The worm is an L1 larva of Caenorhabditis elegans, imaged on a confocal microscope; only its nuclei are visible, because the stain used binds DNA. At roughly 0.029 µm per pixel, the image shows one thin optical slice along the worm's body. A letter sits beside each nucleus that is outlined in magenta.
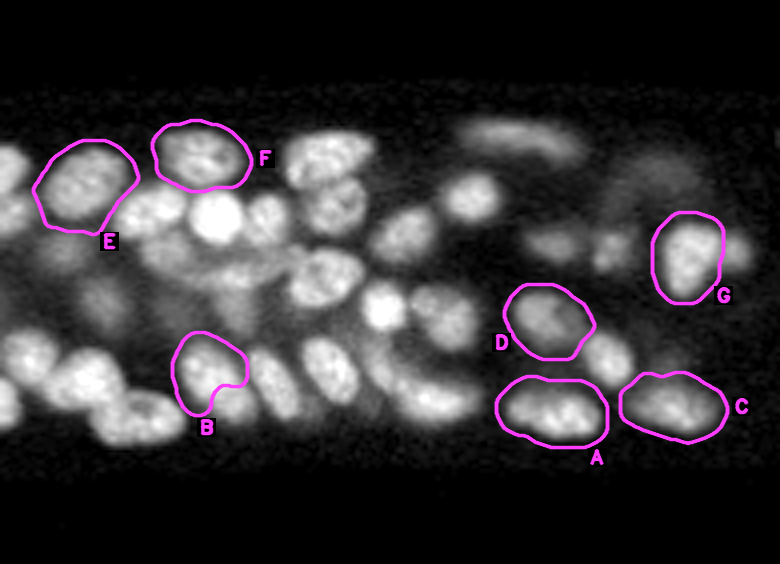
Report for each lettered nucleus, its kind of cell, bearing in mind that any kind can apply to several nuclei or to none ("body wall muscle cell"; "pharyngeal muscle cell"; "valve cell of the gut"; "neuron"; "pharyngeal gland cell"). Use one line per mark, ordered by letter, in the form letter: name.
A: body wall muscle cell
B: neuron
C: body wall muscle cell
D: pharyngeal muscle cell
E: neuron
F: body wall muscle cell
G: valve cell of the gut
